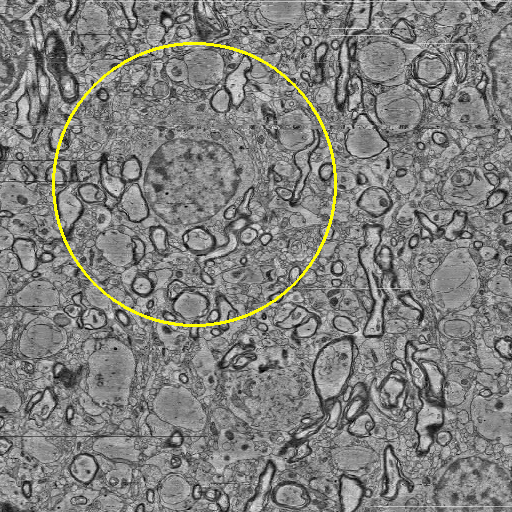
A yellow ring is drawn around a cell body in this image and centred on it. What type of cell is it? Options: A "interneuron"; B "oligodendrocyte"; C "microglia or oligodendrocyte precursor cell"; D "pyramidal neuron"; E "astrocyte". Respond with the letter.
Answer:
B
